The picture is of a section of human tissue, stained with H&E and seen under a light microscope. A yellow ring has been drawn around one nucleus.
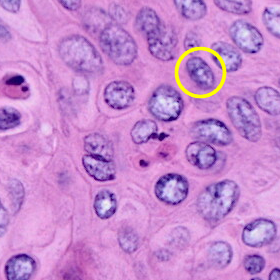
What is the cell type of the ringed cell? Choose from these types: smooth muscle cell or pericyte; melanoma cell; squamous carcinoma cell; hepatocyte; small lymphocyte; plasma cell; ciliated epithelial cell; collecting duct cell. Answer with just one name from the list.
squamous carcinoma cell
